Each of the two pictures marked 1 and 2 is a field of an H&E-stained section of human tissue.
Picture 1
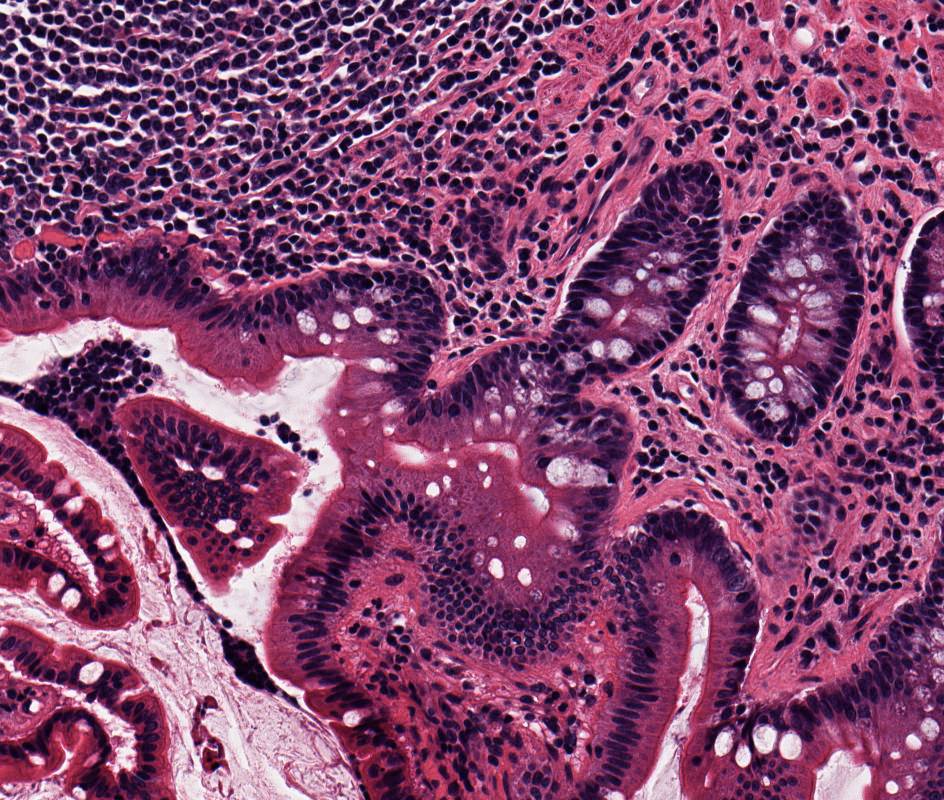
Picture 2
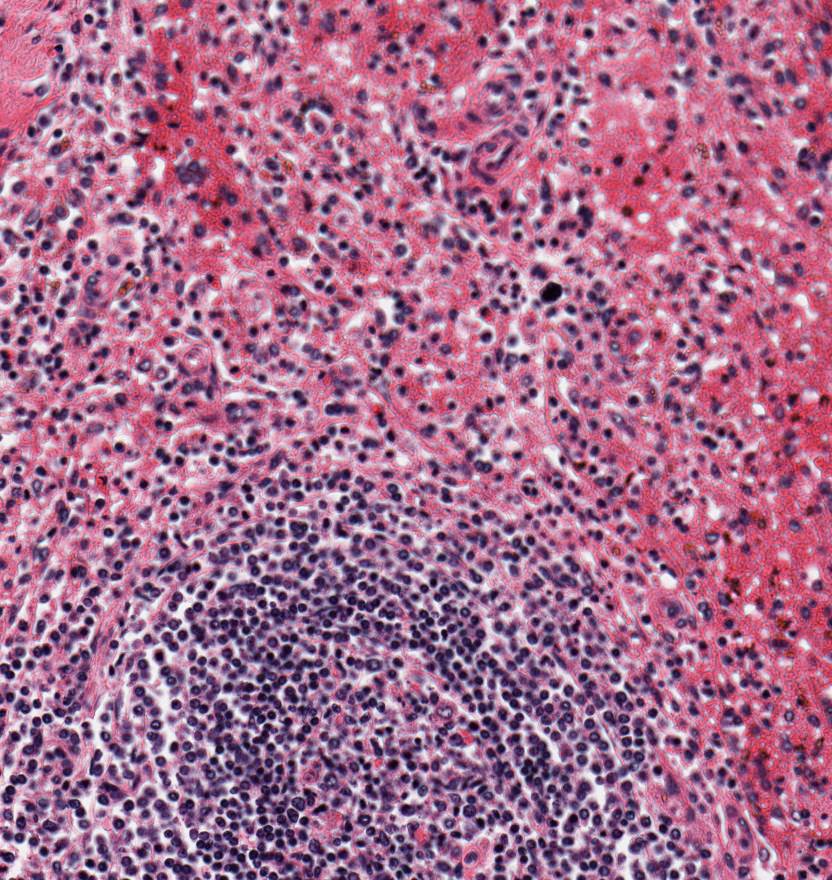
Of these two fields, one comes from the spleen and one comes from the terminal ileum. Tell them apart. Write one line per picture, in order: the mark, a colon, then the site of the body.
1: terminal ileum
2: spleen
